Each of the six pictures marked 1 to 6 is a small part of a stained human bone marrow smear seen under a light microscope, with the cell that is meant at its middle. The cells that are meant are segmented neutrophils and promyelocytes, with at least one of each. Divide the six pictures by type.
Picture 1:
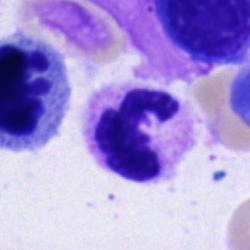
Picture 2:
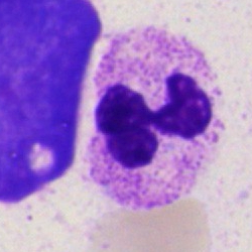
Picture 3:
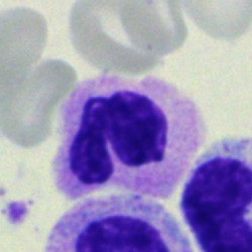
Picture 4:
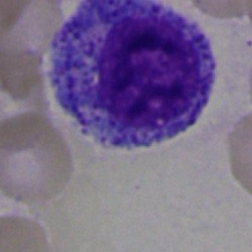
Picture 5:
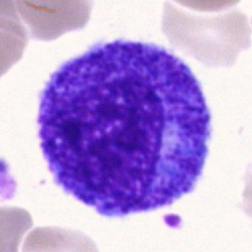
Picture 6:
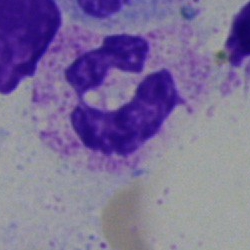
1: segmented neutrophil
2: segmented neutrophil
3: segmented neutrophil
4: promyelocyte
5: promyelocyte
6: segmented neutrophil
